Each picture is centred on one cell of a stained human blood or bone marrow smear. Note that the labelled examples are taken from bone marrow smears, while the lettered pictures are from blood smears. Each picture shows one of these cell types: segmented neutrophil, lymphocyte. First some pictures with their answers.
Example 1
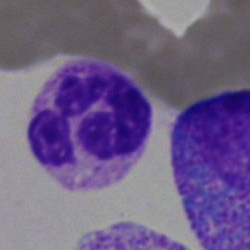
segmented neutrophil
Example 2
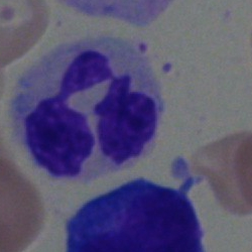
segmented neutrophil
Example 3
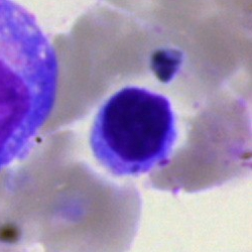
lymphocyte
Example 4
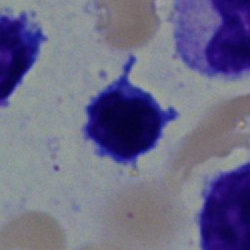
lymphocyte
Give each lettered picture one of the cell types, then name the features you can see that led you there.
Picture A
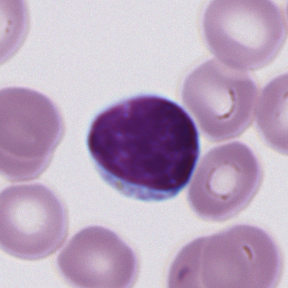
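lymphocyte: The cytoplasm forms a thin pale crescent along the lower edge of the cell.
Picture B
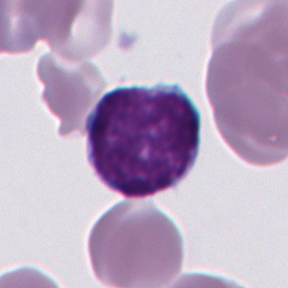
lymphocyte: Cytoplasm is scant, at most a thin rim around the nucleus.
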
